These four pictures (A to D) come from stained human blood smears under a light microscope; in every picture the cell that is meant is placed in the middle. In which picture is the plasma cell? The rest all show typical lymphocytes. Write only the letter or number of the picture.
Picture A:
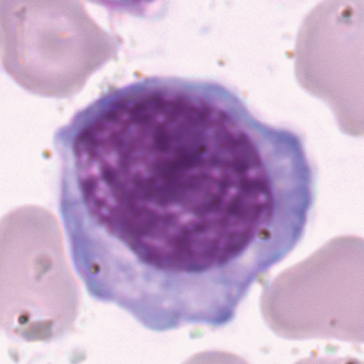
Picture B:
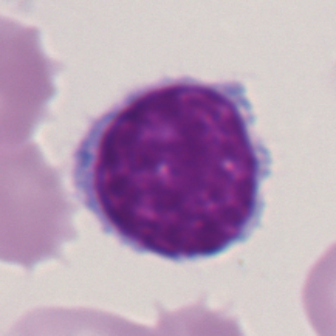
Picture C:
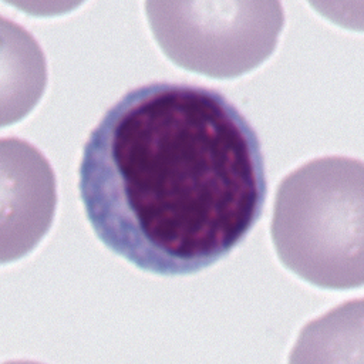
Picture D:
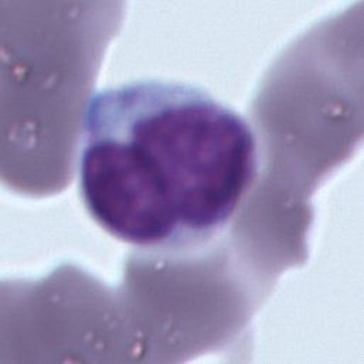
A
